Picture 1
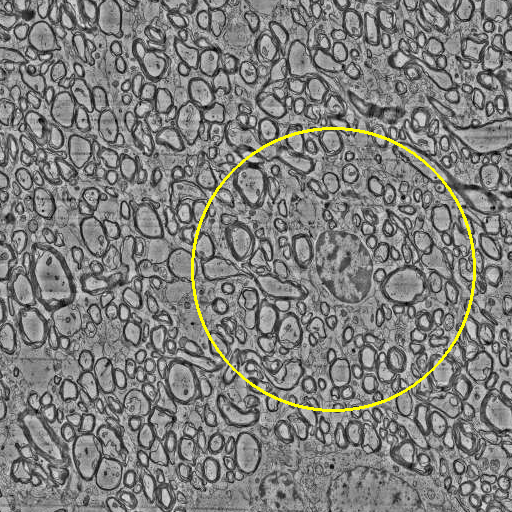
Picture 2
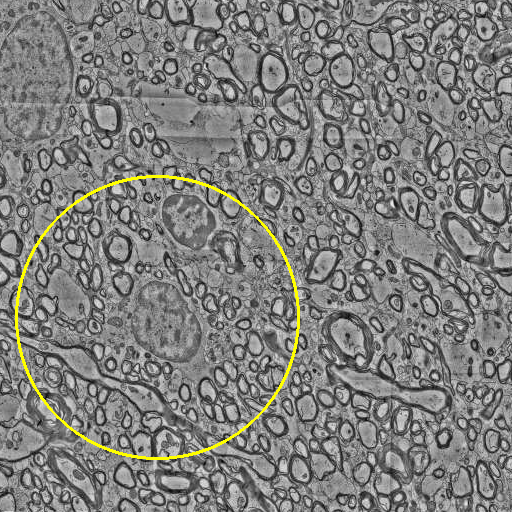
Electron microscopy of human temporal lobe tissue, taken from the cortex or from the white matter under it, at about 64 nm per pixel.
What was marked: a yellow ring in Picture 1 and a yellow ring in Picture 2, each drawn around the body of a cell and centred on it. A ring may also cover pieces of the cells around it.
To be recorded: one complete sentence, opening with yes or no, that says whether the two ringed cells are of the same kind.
No, the two ringed cells are of two kinds.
